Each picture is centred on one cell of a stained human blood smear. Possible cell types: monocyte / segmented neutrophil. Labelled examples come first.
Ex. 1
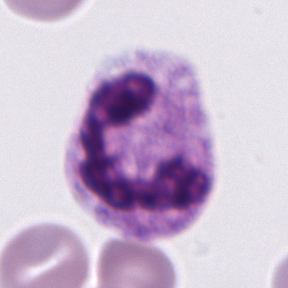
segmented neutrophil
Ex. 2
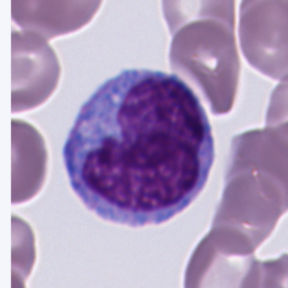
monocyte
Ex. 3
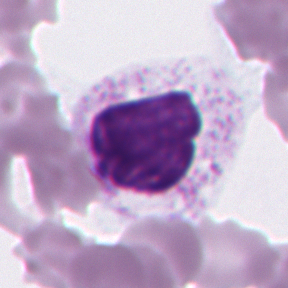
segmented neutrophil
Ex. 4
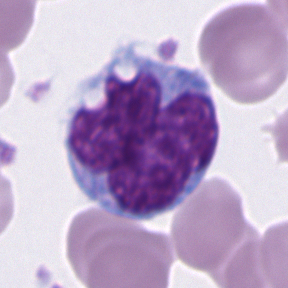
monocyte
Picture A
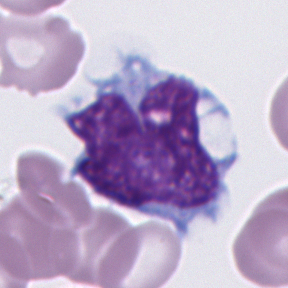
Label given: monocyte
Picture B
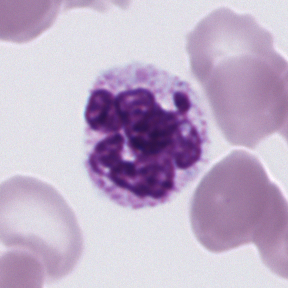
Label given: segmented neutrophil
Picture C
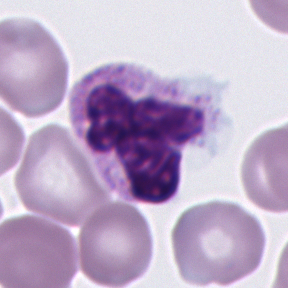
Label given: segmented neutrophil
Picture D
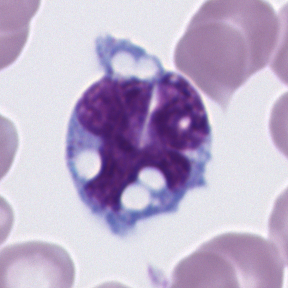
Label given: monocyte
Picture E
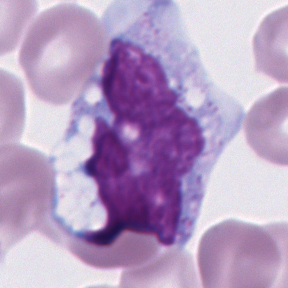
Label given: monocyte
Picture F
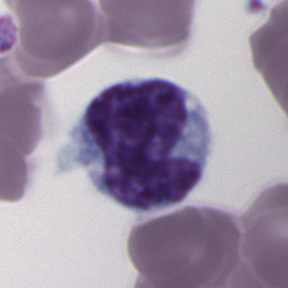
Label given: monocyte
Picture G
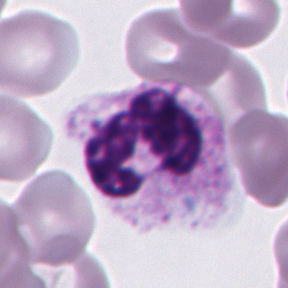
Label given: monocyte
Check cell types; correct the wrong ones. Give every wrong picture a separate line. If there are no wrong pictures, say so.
Wrong: G (monocyte); correct: segmented neutrophil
